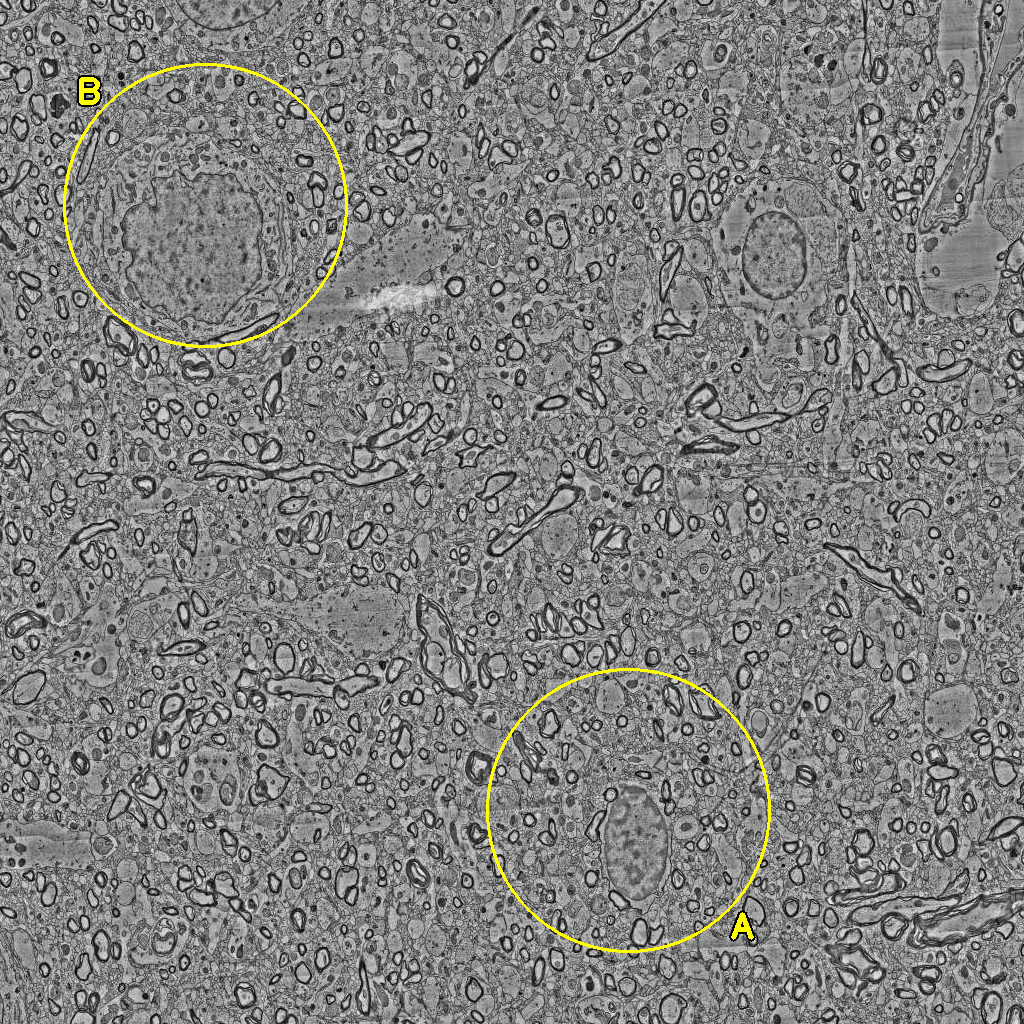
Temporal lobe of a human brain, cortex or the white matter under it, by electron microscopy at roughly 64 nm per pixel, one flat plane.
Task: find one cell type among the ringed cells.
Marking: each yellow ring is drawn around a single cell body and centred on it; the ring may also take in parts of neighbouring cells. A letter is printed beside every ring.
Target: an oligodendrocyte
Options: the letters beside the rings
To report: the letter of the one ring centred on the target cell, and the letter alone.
A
